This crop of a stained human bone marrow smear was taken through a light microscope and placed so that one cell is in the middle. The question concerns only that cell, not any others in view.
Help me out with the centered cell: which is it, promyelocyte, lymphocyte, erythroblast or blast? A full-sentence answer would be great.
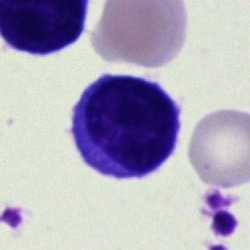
The centrally located cell in the crop is a lymphocyte.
